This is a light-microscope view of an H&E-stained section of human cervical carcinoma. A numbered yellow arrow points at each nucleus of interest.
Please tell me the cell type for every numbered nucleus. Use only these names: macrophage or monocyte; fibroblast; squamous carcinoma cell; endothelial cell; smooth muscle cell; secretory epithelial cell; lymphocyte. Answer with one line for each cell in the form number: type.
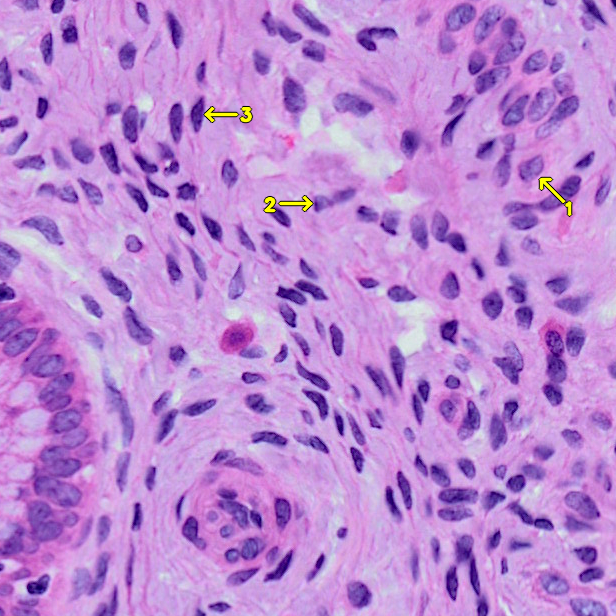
1: smooth muscle cell
2: fibroblast
3: fibroblast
